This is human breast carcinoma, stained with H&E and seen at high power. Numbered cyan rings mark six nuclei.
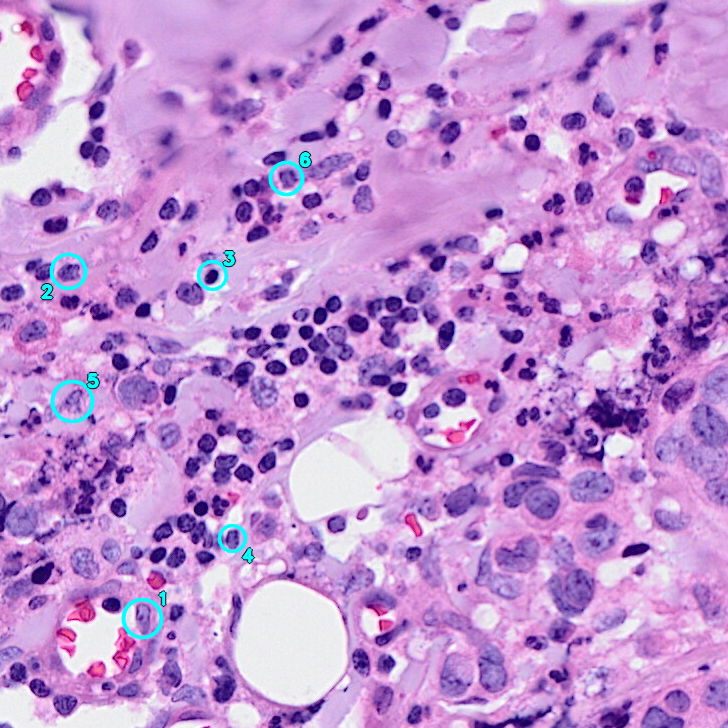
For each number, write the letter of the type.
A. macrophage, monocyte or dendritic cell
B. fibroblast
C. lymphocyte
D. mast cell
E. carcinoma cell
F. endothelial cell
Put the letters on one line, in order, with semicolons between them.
F; C; C; C; A; C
